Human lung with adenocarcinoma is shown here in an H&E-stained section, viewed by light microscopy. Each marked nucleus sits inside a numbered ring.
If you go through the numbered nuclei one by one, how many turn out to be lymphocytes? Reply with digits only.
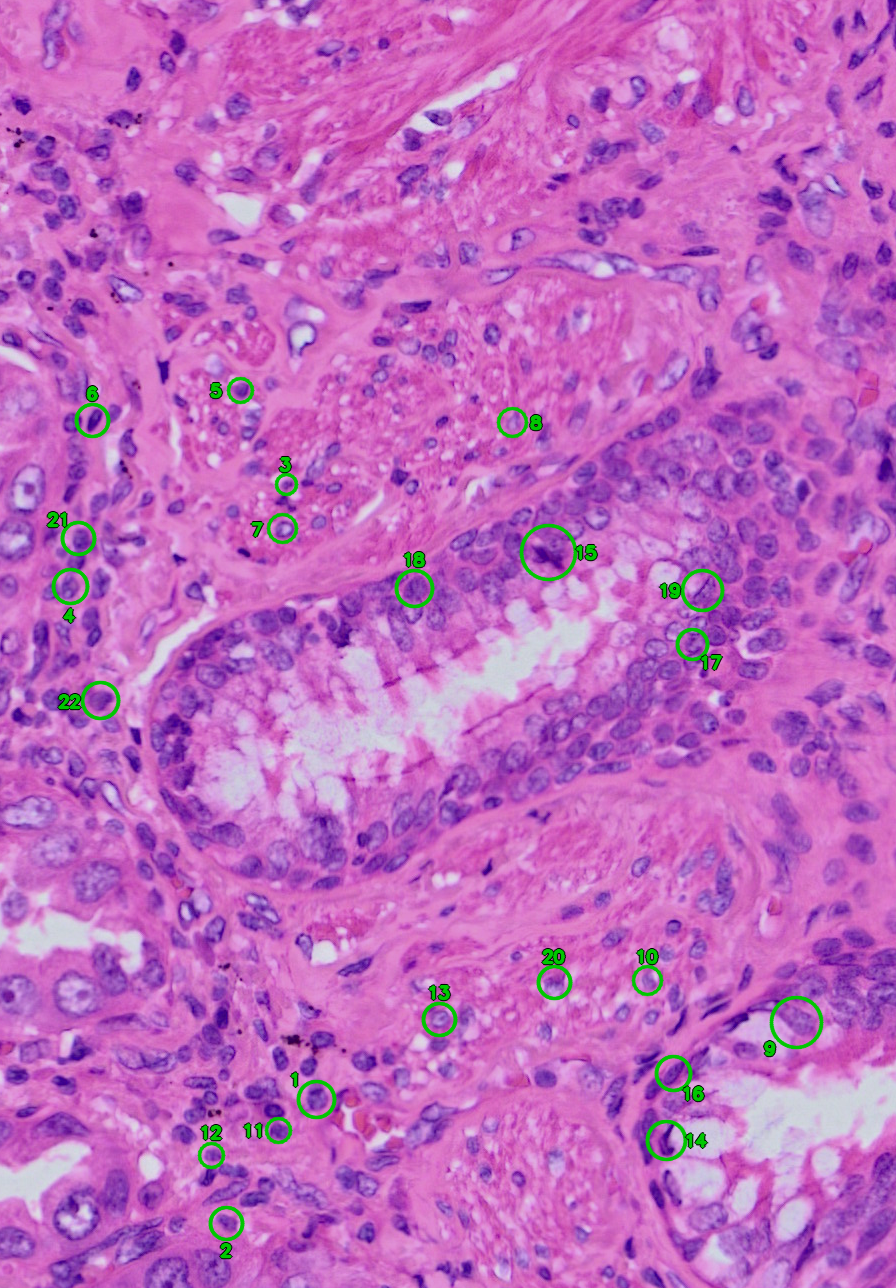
7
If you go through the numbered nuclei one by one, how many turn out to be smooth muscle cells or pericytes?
7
